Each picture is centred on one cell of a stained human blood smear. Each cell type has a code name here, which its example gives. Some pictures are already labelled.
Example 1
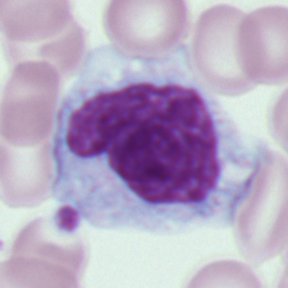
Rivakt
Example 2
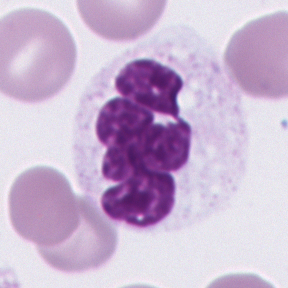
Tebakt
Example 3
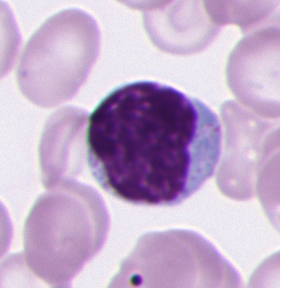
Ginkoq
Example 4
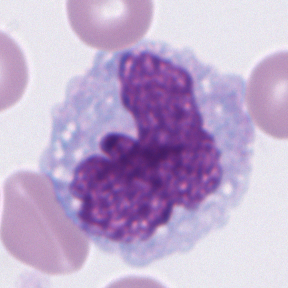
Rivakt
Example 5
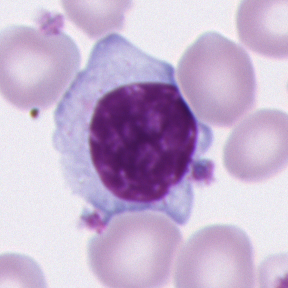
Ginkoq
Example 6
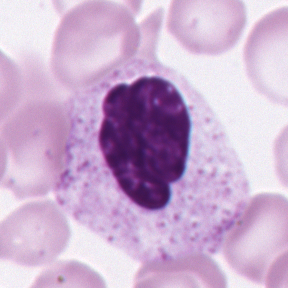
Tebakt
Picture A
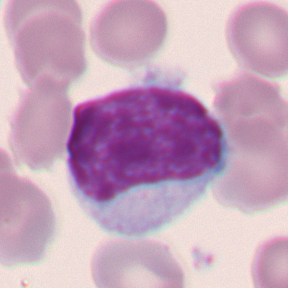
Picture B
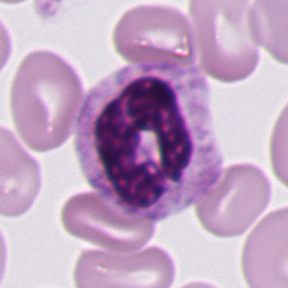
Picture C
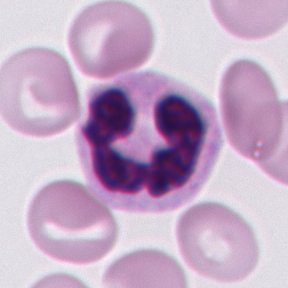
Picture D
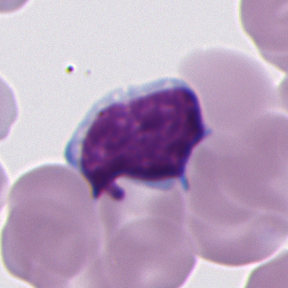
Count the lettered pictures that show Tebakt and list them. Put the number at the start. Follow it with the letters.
2: B, C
